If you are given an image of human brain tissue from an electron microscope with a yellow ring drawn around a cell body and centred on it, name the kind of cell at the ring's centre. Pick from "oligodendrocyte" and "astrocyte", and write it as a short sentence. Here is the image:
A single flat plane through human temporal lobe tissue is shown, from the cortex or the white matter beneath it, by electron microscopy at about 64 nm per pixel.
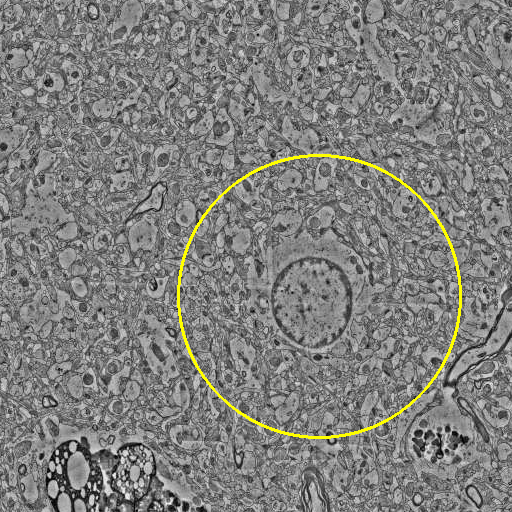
The cell at the ring's centre is an astrocyte.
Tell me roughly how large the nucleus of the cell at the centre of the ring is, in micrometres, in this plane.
In this plane, roughly 5 micrometres across.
